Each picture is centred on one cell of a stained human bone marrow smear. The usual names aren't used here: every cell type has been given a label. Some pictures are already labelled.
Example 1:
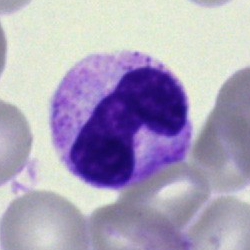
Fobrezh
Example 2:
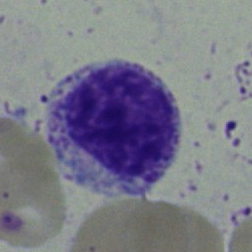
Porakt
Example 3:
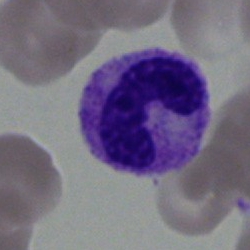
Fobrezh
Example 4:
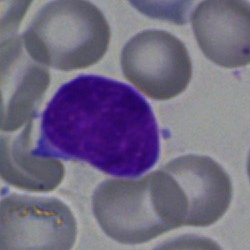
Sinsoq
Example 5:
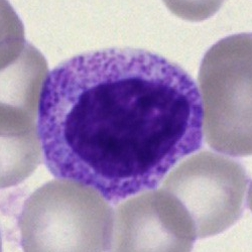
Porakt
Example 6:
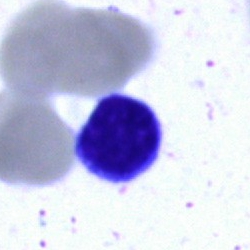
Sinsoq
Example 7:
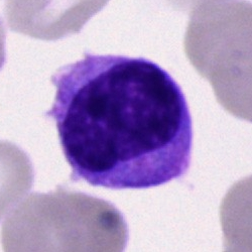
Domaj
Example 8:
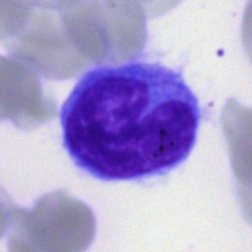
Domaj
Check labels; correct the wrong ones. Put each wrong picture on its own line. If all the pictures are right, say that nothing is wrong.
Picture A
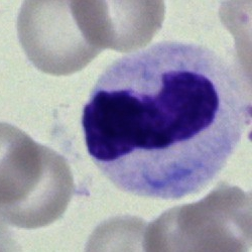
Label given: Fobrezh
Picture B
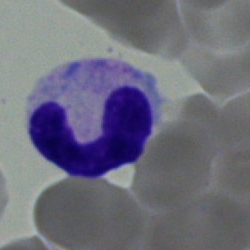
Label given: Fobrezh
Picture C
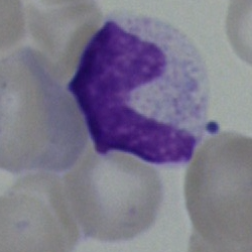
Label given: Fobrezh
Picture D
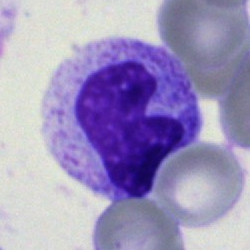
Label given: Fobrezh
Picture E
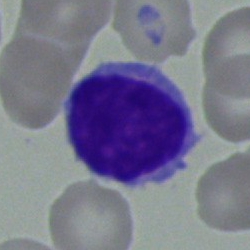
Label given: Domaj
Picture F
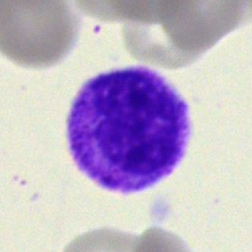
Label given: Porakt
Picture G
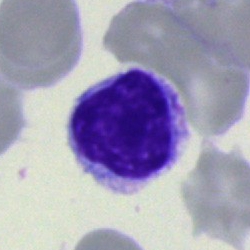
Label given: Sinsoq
Wrong: E (Domaj); correct: Sinsoq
